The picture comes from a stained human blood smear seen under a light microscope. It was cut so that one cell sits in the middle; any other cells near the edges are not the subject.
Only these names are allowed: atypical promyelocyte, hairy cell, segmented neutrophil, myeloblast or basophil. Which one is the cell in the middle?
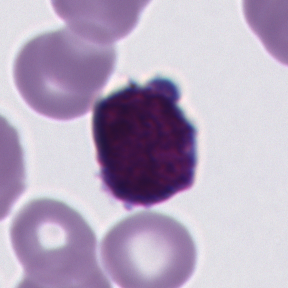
myeloblast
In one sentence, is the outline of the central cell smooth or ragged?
The cell is outlined unevenly, the border being ragged or extended into projections.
